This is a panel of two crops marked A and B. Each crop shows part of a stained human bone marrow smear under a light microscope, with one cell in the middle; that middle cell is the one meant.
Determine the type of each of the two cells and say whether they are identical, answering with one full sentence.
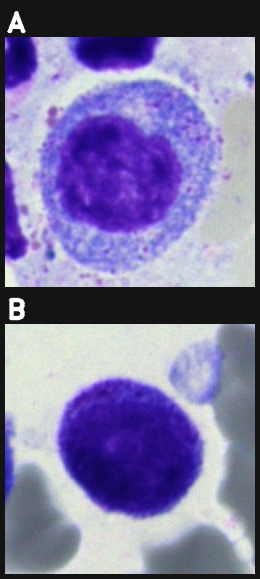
Yes, promyelocytes are depicted in both crops.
